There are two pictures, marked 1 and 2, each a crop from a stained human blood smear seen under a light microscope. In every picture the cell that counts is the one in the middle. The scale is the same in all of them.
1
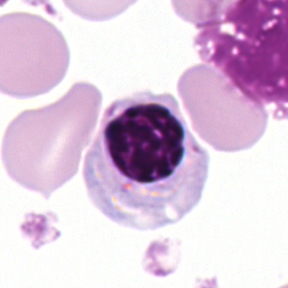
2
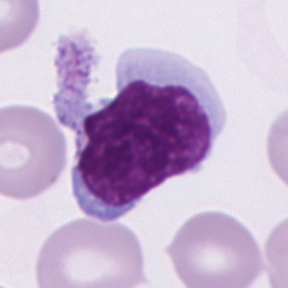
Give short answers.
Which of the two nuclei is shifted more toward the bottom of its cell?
2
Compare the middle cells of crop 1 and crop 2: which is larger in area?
2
